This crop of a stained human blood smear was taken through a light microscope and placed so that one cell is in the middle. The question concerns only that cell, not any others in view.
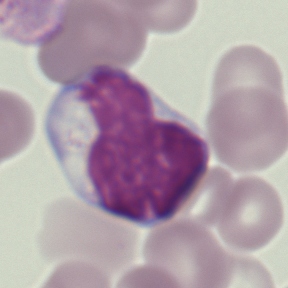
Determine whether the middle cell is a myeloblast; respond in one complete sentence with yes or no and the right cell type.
No, it is not a myeloblast that lies in the middle but a large granular lymphocyte.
